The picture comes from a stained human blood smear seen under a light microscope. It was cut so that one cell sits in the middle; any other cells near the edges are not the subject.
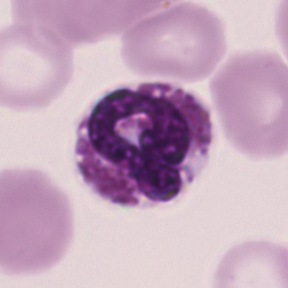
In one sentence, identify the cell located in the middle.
The central element of this crop is a cell, namely an eosinophil.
